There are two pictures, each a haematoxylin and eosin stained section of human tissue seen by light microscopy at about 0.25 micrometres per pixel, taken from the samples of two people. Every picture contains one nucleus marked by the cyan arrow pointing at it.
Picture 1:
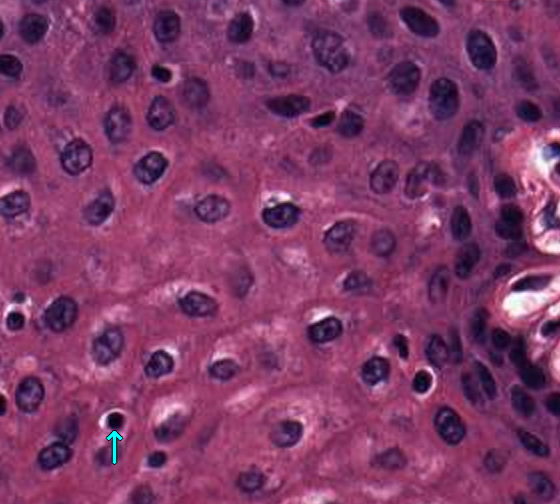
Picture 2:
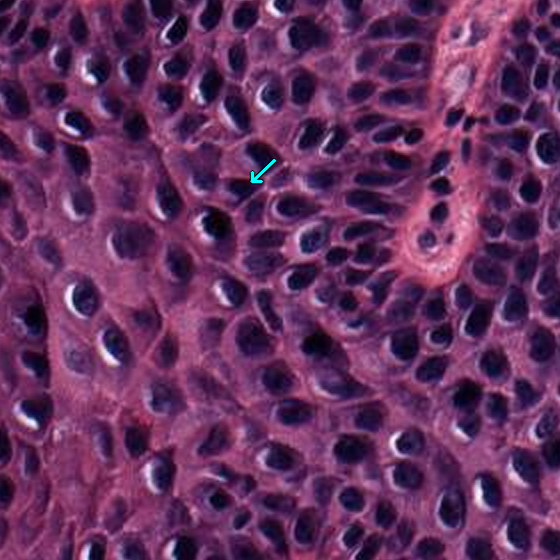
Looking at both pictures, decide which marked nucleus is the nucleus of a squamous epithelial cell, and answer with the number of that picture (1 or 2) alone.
2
